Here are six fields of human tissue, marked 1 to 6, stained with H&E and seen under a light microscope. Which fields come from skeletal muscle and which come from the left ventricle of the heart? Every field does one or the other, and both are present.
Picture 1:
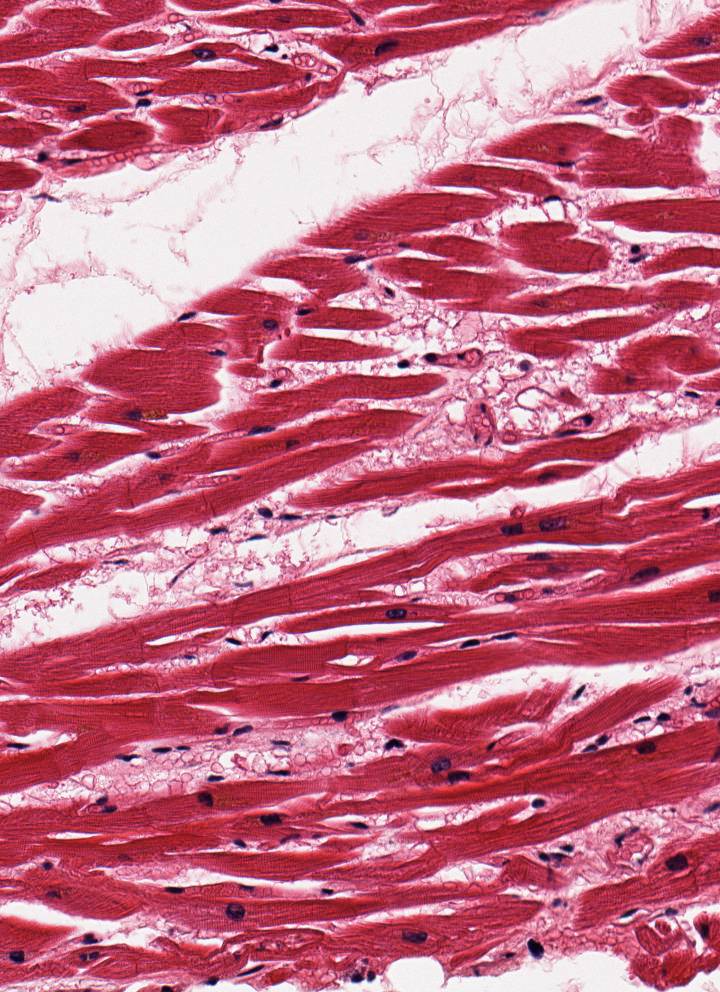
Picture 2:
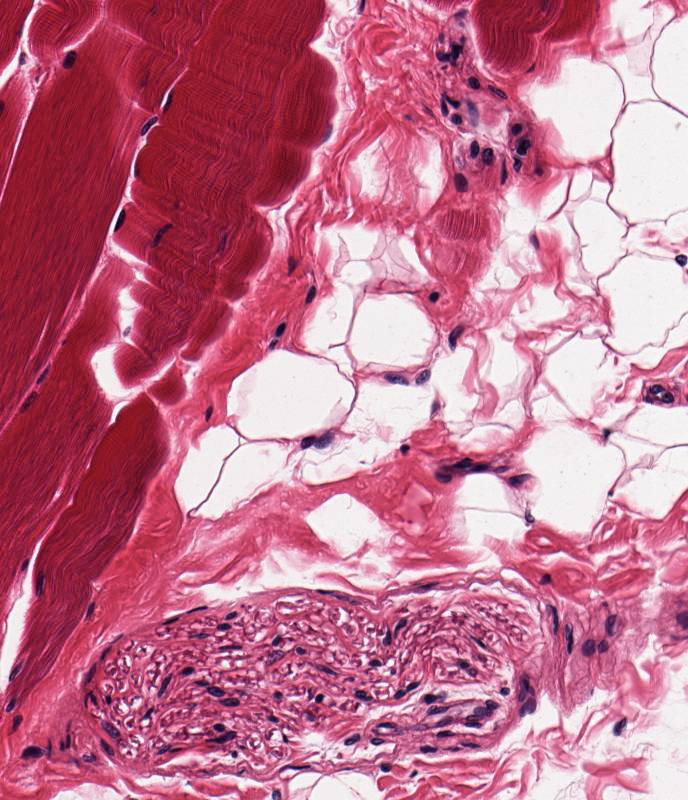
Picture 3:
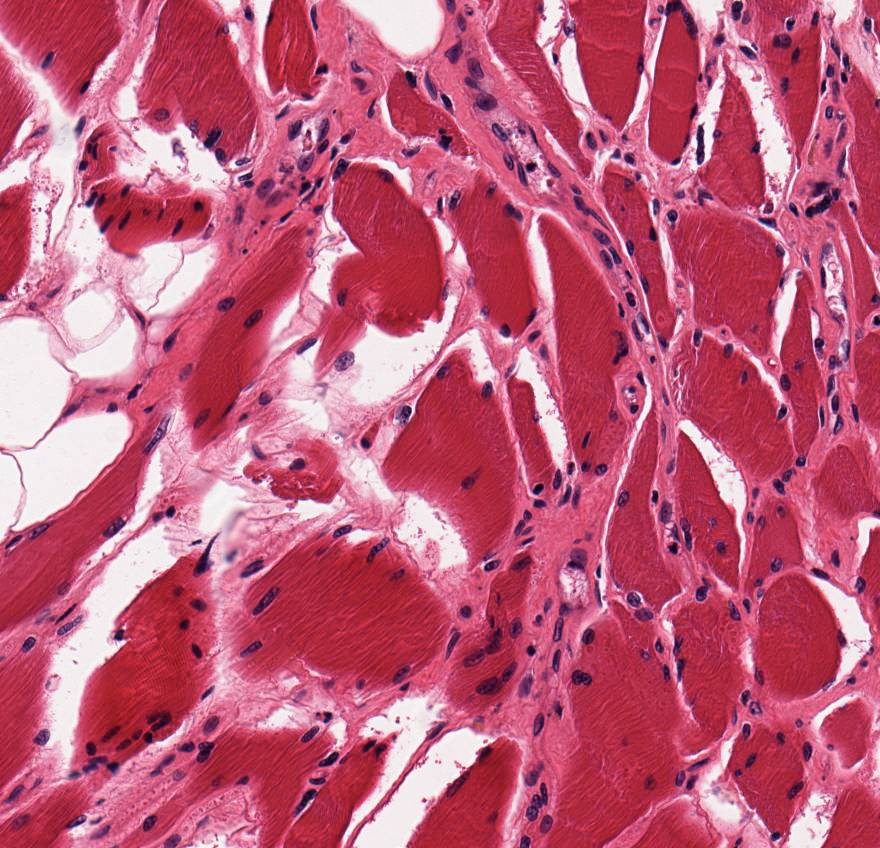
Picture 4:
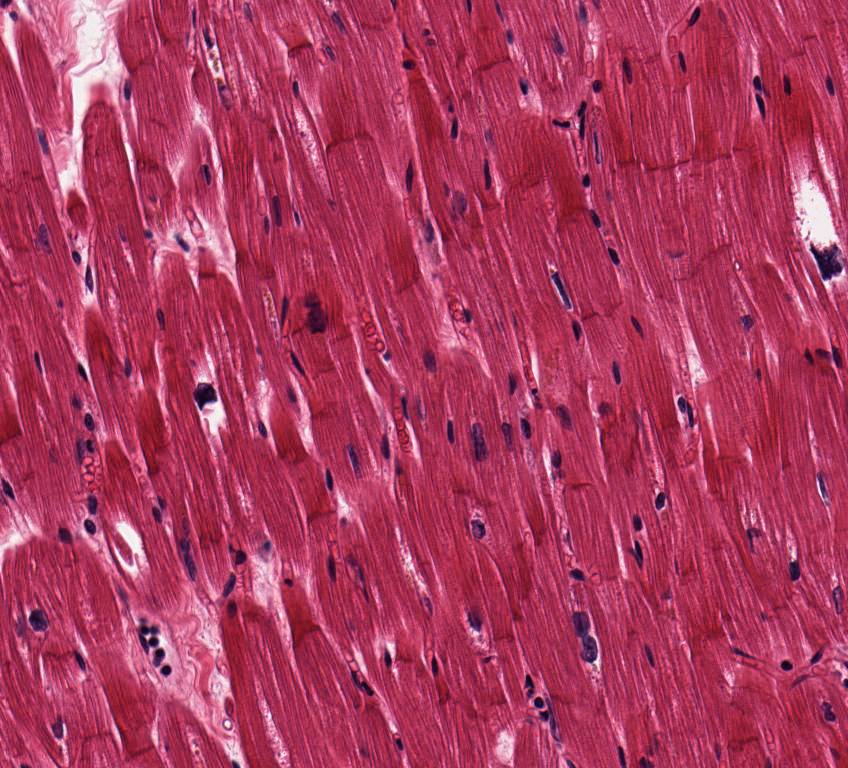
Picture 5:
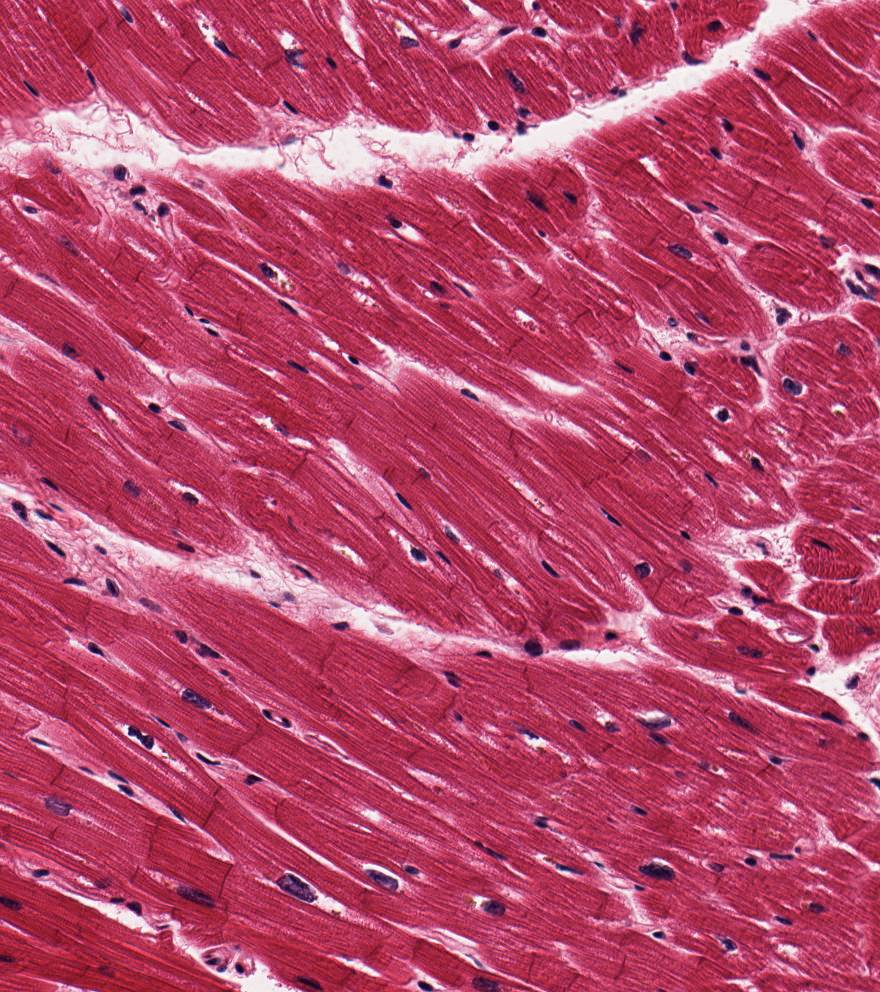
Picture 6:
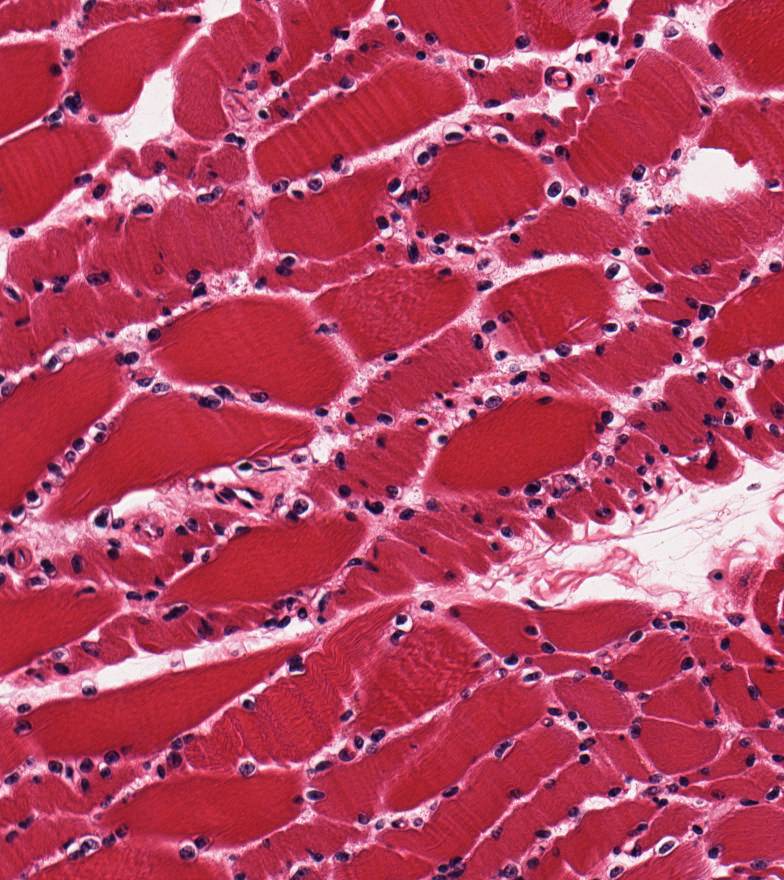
1: left ventricle of the heart
2: skeletal muscle
3: skeletal muscle
4: left ventricle of the heart
5: left ventricle of the heart
6: skeletal muscle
